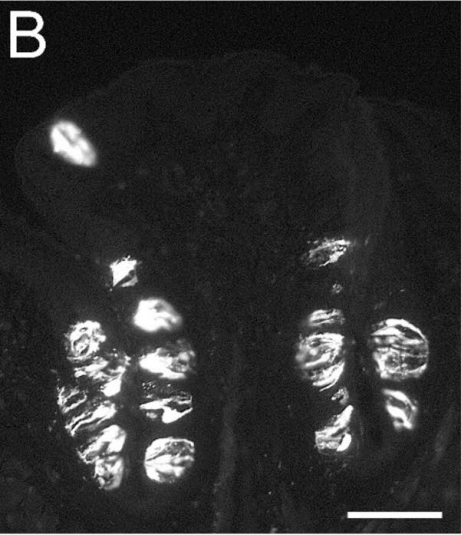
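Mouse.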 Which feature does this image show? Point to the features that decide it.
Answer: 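Several rounded, onion-shaped clusters of bright elongated cells. The clusters lie in rows along two sides of a dark epithelial fold. That points to this answer: taste buds.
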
